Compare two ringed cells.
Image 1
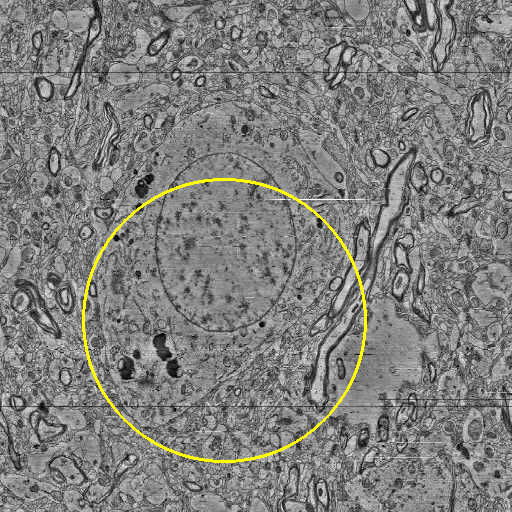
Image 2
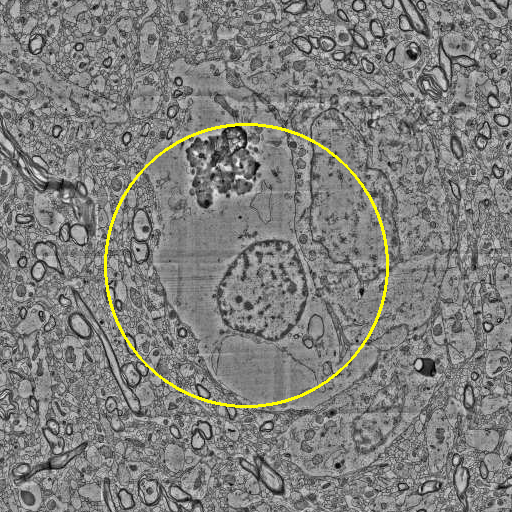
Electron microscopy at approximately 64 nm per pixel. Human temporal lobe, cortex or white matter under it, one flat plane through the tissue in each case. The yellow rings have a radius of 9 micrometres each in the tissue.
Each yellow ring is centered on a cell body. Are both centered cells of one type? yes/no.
no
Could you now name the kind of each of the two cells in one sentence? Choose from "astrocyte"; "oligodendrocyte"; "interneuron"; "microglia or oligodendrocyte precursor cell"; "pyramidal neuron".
The first ring encloses a pyramidal neuron; the second ring encloses an astrocyte.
